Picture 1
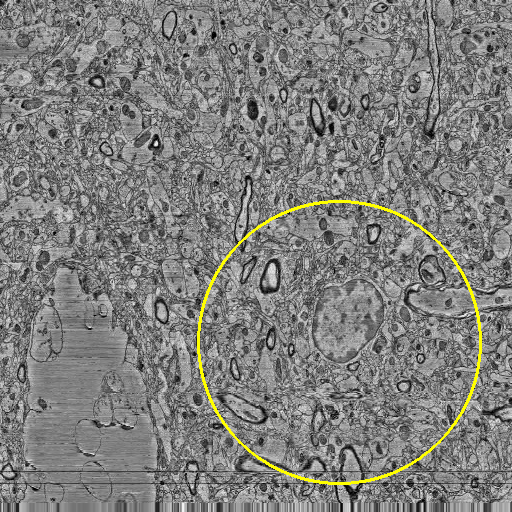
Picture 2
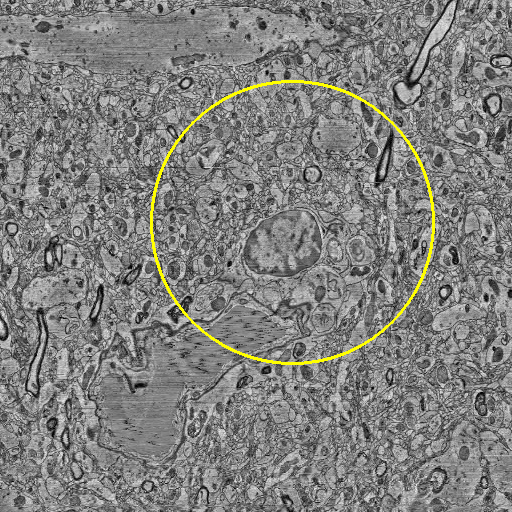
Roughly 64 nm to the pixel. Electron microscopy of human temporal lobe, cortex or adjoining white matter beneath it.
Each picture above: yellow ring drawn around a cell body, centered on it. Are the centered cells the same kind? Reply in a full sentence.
Yes, the two cells are the same kind.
